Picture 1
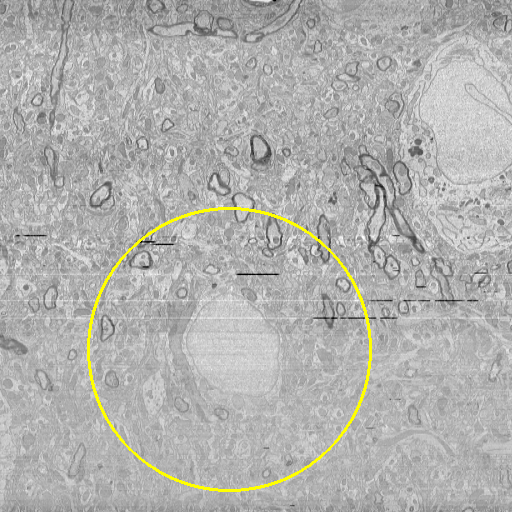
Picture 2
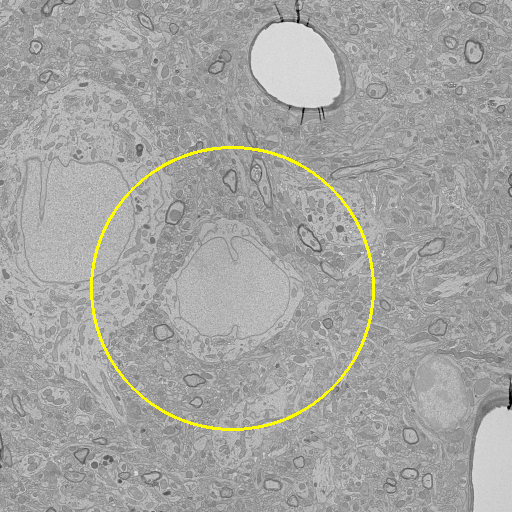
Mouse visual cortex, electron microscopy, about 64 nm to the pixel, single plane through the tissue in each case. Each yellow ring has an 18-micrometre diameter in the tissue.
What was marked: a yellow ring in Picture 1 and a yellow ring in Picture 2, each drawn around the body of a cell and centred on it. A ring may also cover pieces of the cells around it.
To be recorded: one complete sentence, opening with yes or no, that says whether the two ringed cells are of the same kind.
No, the two ringed cells are of two kinds.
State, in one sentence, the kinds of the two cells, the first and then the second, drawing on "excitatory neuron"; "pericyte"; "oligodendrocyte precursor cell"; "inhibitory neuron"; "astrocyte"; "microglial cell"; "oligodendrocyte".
The ring in the second picture is centred on an excitatory neuron, the ring in the first on an astrocyte.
